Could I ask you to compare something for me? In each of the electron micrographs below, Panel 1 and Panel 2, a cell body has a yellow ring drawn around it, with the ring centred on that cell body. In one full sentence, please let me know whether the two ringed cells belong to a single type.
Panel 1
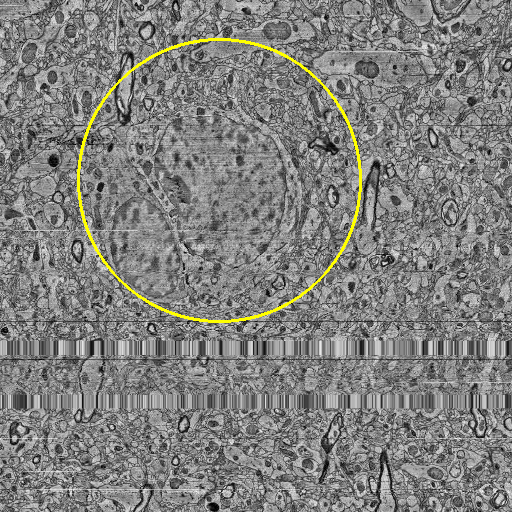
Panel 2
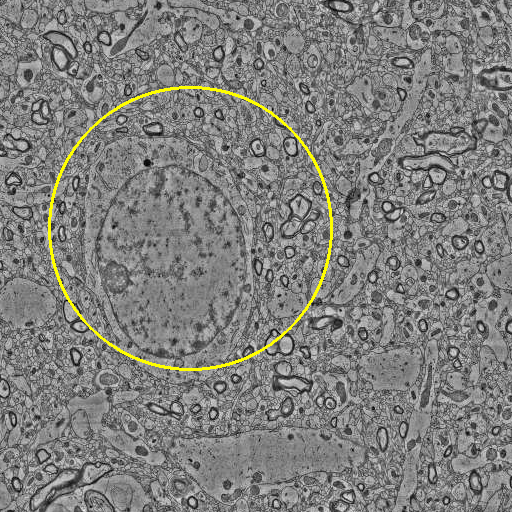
Yes, the two cells at the centres of the rings are of one type.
